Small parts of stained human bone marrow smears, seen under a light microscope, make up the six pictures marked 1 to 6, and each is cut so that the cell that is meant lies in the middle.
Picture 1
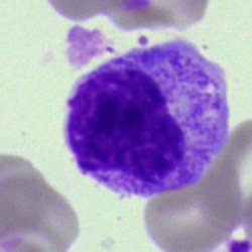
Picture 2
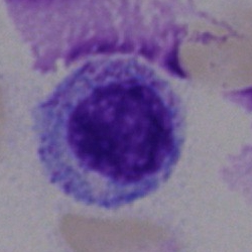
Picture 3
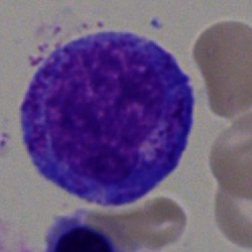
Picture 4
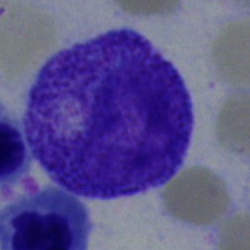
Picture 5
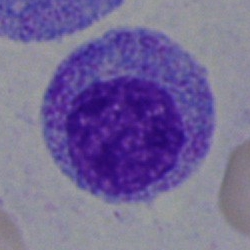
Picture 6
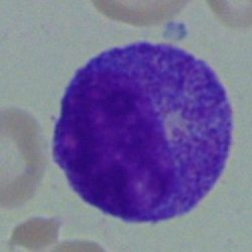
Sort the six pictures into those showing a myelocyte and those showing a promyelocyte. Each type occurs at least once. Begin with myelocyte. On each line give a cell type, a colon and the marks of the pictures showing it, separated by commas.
myelocyte: 1, 2, 5
promyelocyte: 3, 4, 6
